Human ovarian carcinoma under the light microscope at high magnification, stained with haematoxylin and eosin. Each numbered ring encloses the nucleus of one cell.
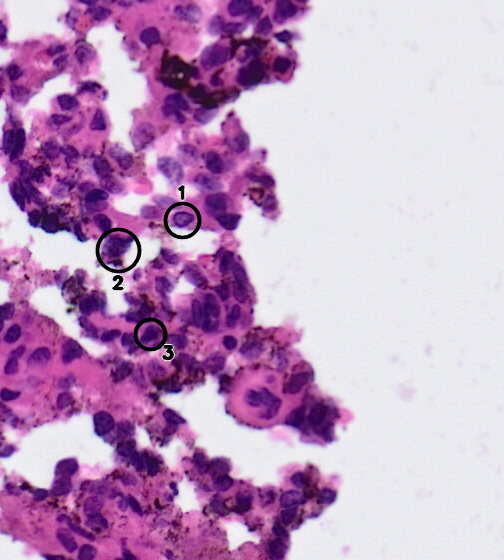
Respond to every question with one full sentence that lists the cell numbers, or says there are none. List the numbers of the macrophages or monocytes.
Only the cell at mark 1 is a macrophage or monocyte, and no other marked cell is.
